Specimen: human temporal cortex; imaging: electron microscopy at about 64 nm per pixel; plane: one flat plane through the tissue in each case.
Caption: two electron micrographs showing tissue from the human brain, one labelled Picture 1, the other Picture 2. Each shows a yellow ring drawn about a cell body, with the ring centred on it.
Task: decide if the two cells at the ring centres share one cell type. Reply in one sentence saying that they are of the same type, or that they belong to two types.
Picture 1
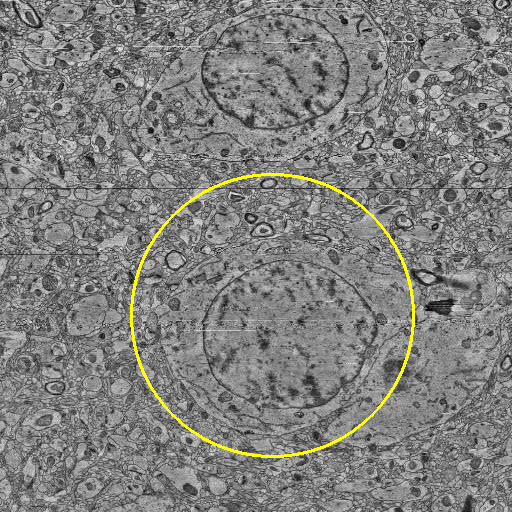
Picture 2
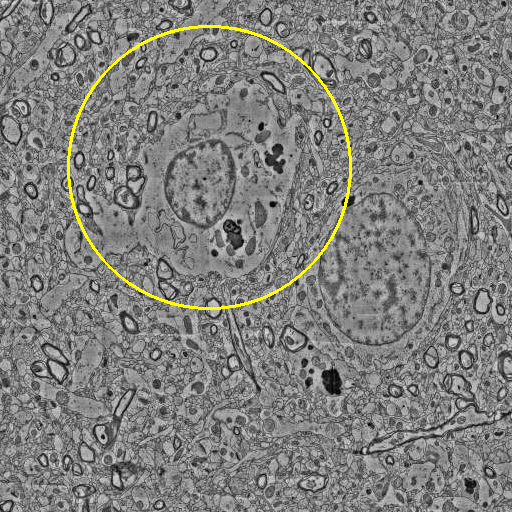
The cells at the ring centres in Picture 1 and Picture 2 belong to two types.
